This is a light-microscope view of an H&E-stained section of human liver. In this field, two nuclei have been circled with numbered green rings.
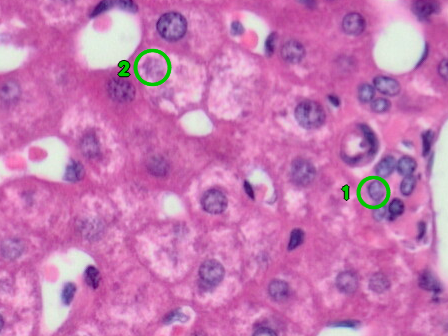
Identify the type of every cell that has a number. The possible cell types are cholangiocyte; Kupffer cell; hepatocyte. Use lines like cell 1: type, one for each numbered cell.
cell 1: cholangiocyte
cell 2: hepatocyte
